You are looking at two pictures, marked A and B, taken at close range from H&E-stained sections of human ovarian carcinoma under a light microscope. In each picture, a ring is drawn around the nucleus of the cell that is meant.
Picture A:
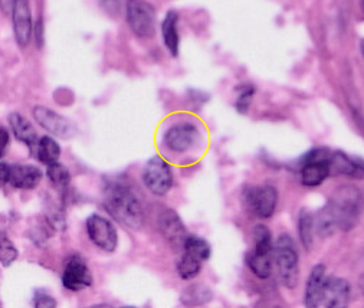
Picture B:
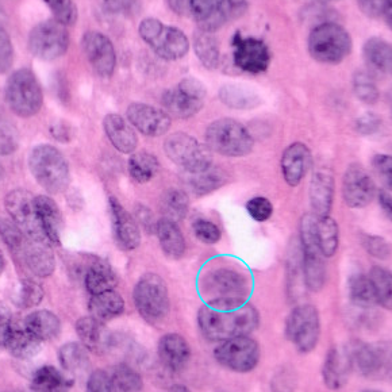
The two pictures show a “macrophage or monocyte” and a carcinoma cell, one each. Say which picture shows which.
A: macrophage or monocyte
B: carcinoma cell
